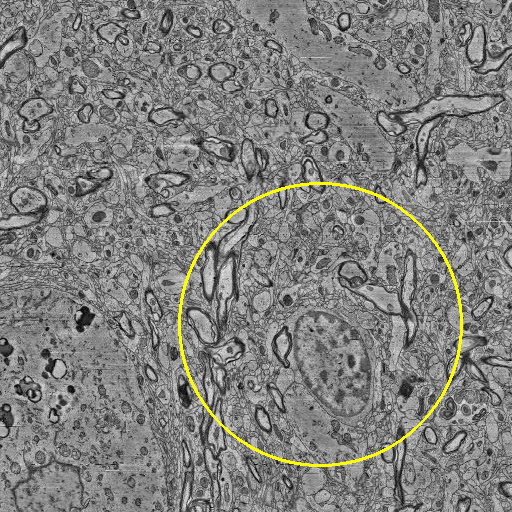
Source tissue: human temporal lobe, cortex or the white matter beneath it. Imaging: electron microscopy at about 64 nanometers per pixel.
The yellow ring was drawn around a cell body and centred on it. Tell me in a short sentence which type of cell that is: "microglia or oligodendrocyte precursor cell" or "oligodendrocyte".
The cell at the ring's centre is an oligodendrocyte.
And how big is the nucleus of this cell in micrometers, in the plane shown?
The nucleus of the ringed cell is clearly longer than it is wide in this plane, about 7 by 5 micrometres.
